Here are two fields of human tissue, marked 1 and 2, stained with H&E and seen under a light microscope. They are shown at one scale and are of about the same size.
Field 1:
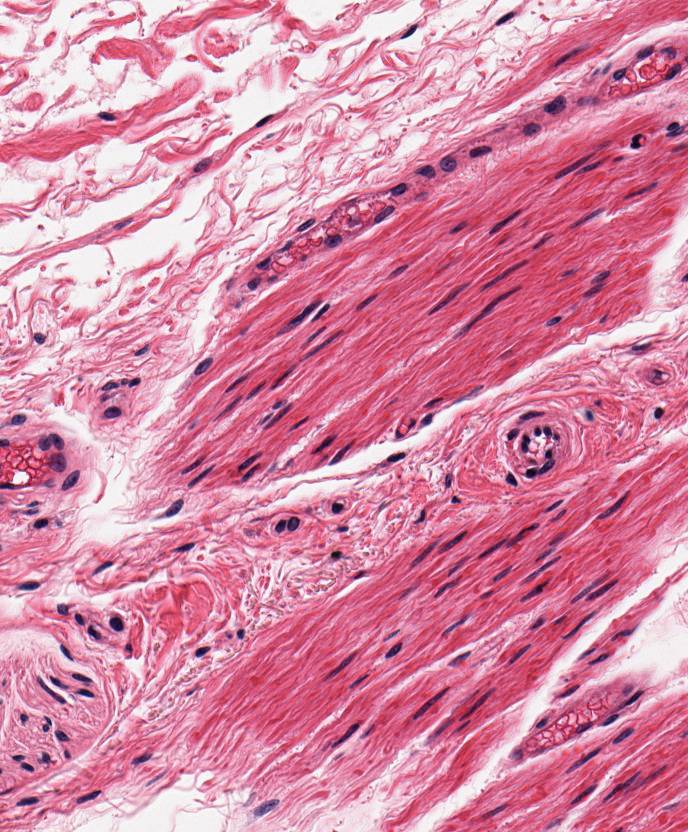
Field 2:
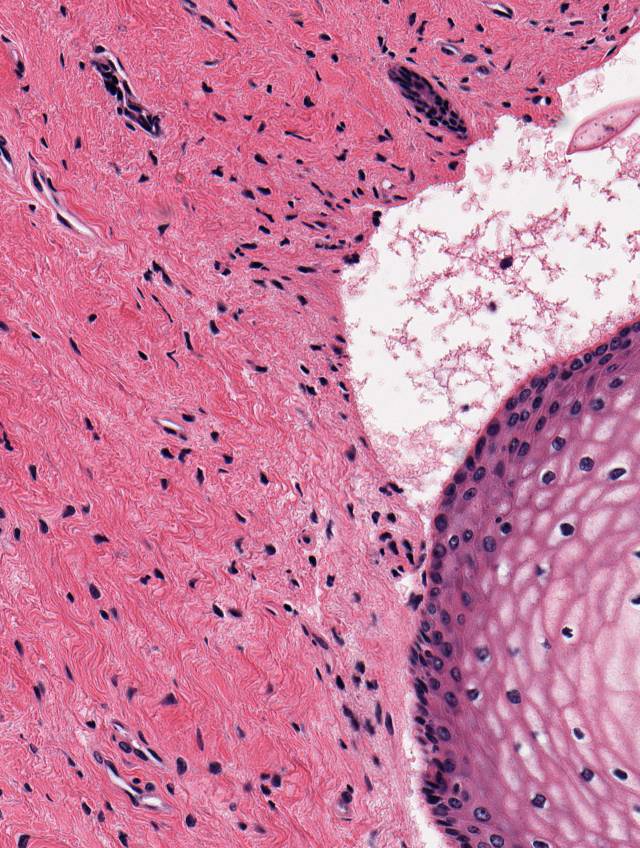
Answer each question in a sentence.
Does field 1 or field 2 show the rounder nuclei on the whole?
The nuclei are rounder in field 2.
